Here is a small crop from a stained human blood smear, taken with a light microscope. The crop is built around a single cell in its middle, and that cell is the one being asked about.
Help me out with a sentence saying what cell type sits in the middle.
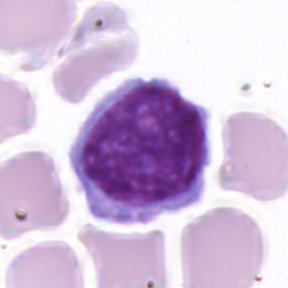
Here the cell in the middle is a plasma cell.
